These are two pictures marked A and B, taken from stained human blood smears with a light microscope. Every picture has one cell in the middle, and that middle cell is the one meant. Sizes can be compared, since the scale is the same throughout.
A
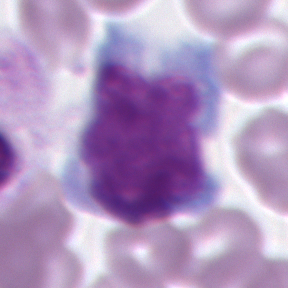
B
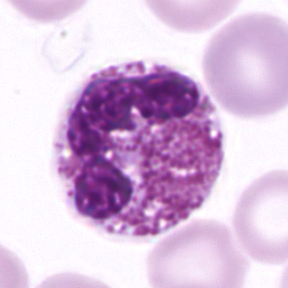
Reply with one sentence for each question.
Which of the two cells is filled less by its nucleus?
It is the cell in crop B that is filled less by its nucleus.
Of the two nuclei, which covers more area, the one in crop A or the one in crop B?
The nucleus in crop A is larger, with about 1.5 times the area of the one in crop B.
